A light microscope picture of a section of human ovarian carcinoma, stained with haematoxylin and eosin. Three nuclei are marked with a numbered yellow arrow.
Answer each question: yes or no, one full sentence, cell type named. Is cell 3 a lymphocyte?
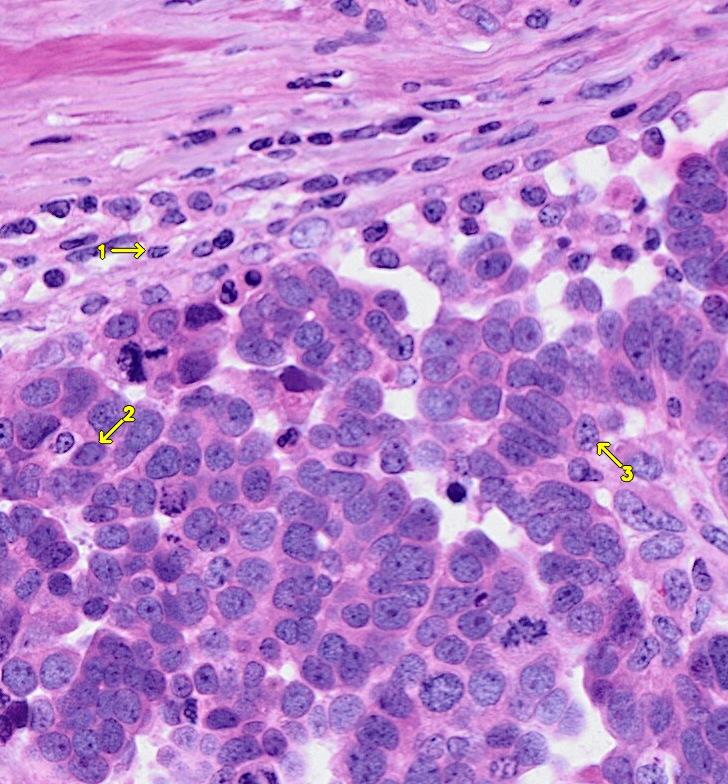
No, the nucleus numbered 3 belongs to a macrophage or monocyte, not a lymphocyte.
